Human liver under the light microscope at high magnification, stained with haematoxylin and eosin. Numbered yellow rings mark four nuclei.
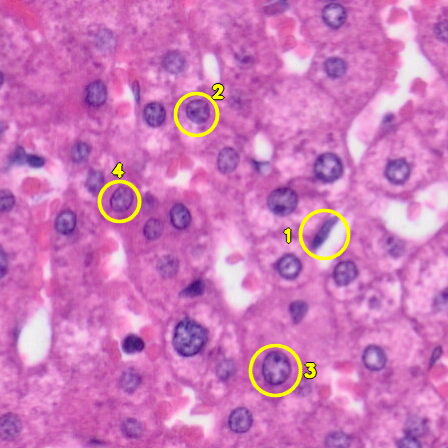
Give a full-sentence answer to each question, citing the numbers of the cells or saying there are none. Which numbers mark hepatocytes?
The cells identified by the numbers 2, 3 and 4 are hepatocytes.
